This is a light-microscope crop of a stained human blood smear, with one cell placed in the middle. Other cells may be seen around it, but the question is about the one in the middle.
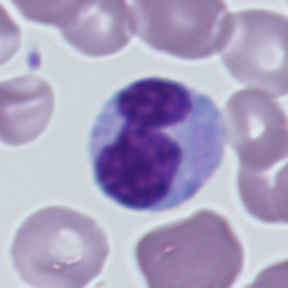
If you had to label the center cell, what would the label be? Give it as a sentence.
The cell in the exact centre of the crop is a monocyte.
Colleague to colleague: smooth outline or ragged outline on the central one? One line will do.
Smooth edges only, with no spikes, blebs, or other projections.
